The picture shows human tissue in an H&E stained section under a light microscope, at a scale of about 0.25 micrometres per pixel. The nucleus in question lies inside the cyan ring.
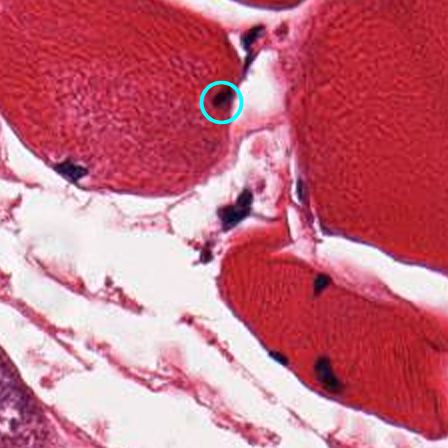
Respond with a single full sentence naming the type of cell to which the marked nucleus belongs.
Marked in this picture is the nucleus of a skeletal muscle fibre.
